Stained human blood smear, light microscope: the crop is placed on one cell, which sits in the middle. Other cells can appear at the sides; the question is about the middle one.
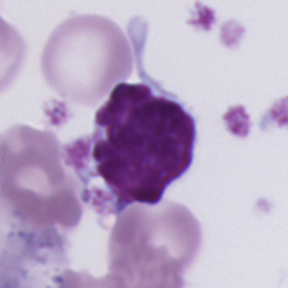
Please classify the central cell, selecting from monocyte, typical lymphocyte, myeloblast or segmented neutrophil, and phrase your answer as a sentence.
The middle of this crop holds a typical lymphocyte.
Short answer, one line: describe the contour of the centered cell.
Seen at its edge, the cell is not smooth but ragged or projecting.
